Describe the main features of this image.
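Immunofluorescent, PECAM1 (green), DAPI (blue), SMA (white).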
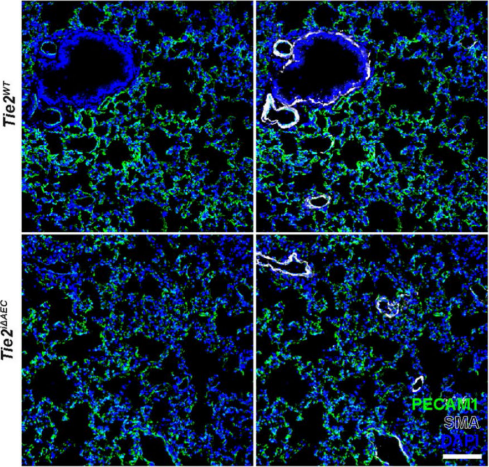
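This is lung tissue, seen as a fine lace of thin alveolar walls enclosing many dark, empty air spaces. The walls are crowded with blue nuclei and lined by green threads and dots that follow the capillaries running inside them. In the upper left corner a large round airway stands out, its wall made of a thick ring of closely packed blue nuclei around a dark lumen. White rings and bands hug the walls of several of the larger tubes, marking the muscular coat around them, while the thin alveolar walls carry no white at all.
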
